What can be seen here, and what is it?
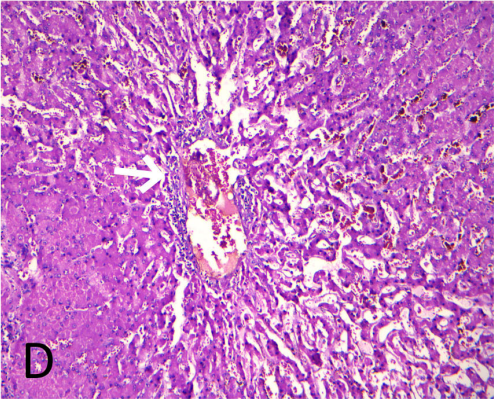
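This is liver tissue with a dilated central vein in the middle and cords of hepatocytes radiating outwards from it. The vein lumen contains red erythrocytes and pale cellular debris, and a thin rim of small dark-nucleated lymphocytes surrounds its wall. The hepatocyte cords are disorganised and separated by widened sinusoidal spaces; many hepatocytes have irregular, pink to purple cytoplasm and indistinct borders, suggesting degeneration and necrosis. Scattered brown-black granular deposits are seen in the sinusoids between the cords.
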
